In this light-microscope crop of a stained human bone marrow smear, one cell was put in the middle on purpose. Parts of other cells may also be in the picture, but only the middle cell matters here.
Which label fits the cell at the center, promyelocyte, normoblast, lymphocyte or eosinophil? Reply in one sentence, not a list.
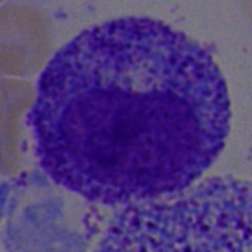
The cell in the middle of the field of view is a promyelocyte.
